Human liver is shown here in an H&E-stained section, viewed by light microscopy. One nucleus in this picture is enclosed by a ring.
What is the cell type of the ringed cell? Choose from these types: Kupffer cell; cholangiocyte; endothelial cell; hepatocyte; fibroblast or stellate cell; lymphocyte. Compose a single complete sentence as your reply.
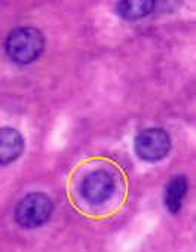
The category to which the ringed cell belongs is that of a hepatocyte.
